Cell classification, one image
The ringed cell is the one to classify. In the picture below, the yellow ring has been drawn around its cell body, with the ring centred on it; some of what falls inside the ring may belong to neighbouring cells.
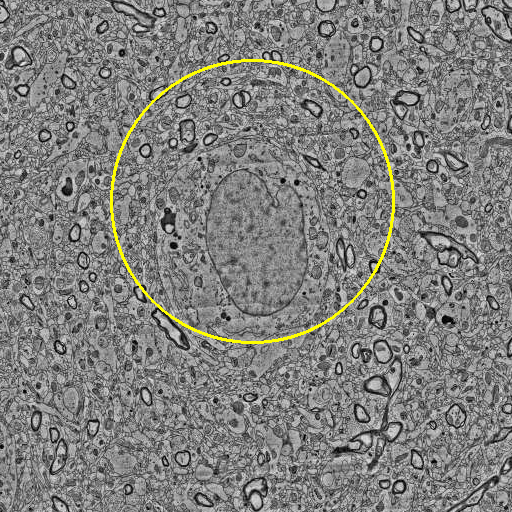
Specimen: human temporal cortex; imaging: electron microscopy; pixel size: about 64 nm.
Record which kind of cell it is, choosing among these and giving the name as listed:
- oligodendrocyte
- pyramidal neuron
pyramidal neuron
